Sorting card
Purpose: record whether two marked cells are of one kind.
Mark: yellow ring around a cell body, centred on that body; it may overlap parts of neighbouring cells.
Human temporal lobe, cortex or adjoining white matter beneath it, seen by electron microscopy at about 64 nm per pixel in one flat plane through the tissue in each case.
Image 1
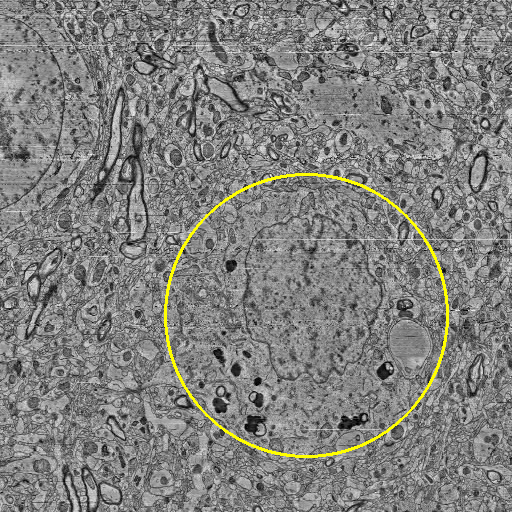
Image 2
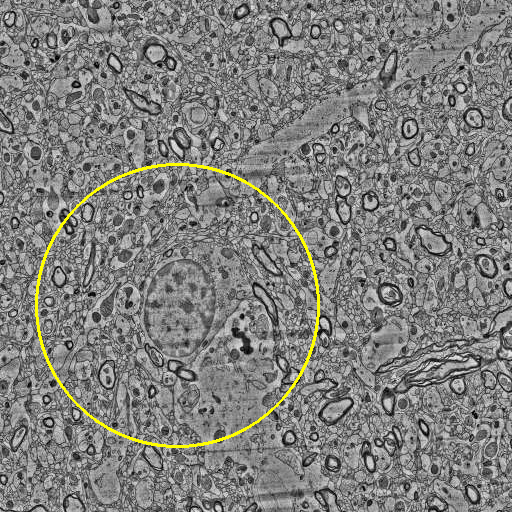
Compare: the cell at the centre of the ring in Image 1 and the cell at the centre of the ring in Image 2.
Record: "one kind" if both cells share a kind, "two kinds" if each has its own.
two kinds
